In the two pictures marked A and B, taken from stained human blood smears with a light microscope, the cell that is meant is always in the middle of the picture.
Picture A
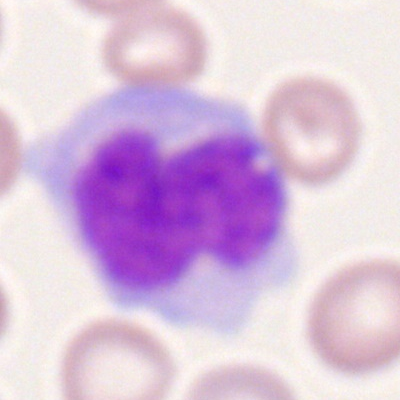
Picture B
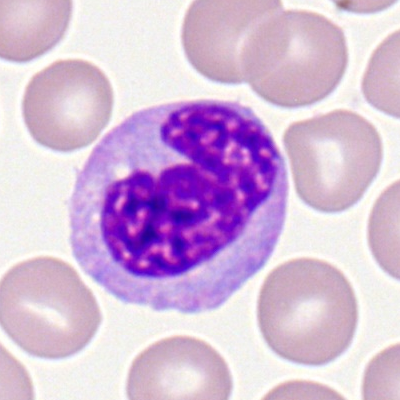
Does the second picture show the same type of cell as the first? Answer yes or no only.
yes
